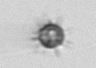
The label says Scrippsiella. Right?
Wrong: this is Rhabdosphaera.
